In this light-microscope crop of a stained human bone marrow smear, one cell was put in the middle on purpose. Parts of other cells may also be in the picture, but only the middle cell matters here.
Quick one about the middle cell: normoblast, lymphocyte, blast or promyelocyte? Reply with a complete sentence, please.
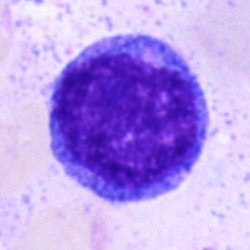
Present in the middle of the crop is a blast.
